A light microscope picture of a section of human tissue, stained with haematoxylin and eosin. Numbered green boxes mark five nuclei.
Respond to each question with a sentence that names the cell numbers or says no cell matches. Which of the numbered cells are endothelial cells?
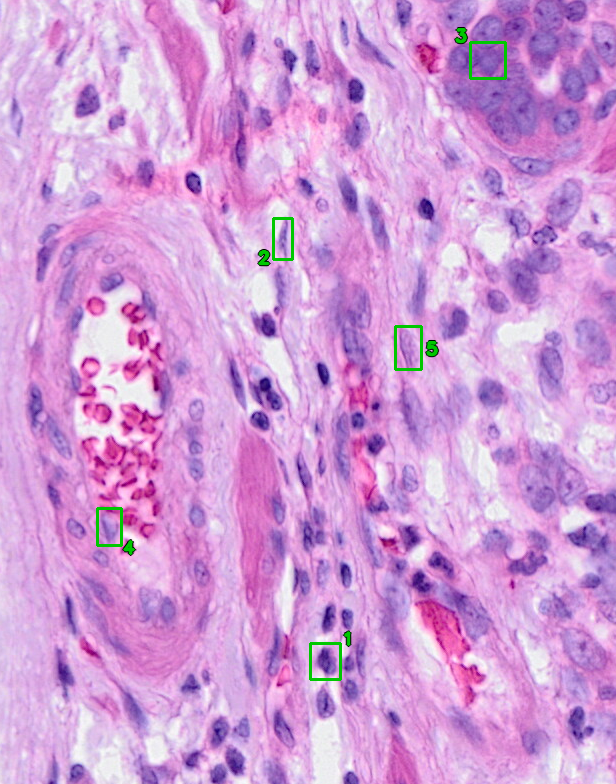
Only one marked cell, number 4, is an endothelial cell.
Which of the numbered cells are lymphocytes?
Cell 1 alone, of all the numbered cells, is a lymphocyte.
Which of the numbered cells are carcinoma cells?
As for the numbered cells, only cell 3 is a carcinoma cell.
